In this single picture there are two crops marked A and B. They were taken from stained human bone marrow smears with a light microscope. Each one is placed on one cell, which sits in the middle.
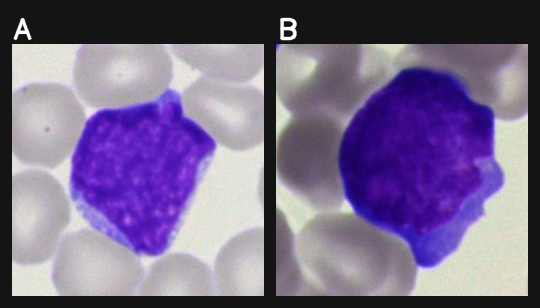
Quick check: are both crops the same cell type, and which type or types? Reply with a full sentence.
Yes, the cells of interest in both crops are blasts.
